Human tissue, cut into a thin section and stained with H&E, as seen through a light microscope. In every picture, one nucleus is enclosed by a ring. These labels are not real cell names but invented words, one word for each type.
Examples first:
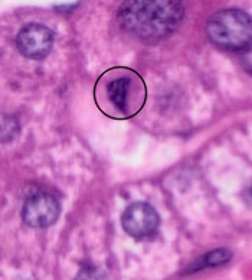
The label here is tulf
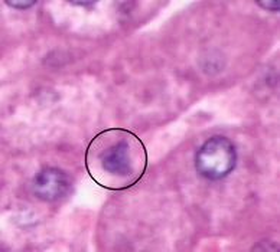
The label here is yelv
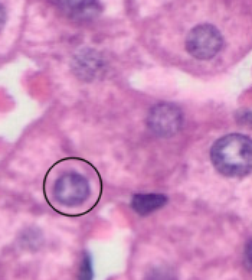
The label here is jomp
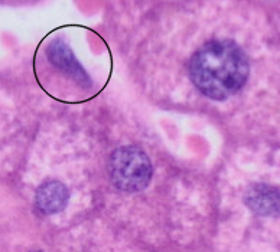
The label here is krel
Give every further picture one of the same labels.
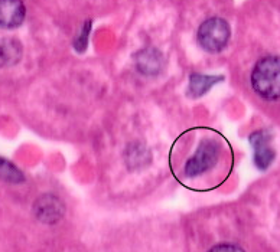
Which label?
krel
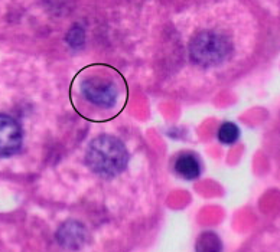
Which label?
yelv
